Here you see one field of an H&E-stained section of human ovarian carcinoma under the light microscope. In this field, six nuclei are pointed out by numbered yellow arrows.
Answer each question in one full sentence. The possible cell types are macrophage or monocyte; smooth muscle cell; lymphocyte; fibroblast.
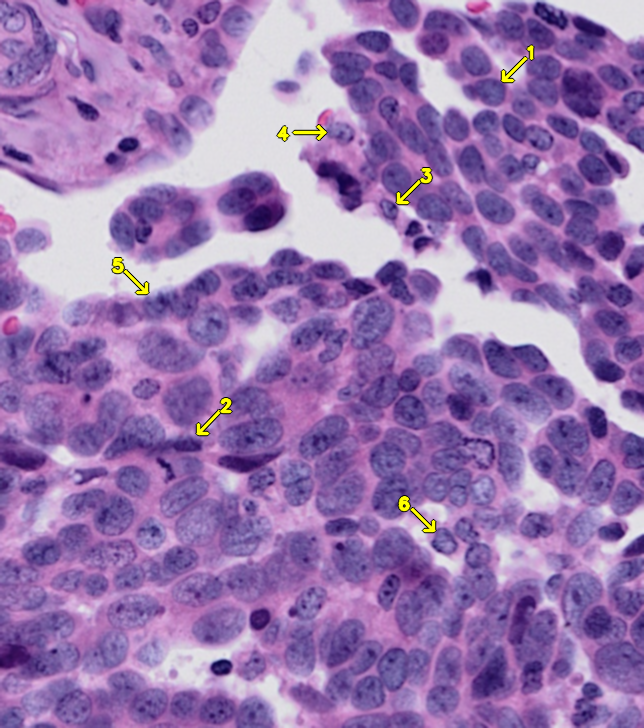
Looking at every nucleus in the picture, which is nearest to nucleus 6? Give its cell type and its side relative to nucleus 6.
Just above and to the right of nucleus 6 lies the nearest nucleus, which belongs to a macrophage or monocyte.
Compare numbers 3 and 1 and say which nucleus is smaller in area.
Number 3 is smaller, since number 1 takes up about 2.5 times as much area.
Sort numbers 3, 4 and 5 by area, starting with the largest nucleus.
The nuclei rank 5, 4, 3, from largest to smallest.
